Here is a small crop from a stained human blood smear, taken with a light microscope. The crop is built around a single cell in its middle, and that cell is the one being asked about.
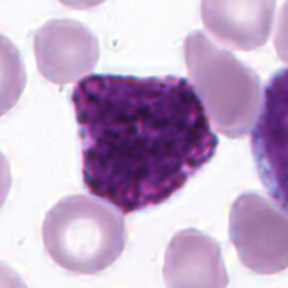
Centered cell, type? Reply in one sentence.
In short, the cell at the center is a basophil.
